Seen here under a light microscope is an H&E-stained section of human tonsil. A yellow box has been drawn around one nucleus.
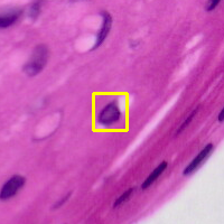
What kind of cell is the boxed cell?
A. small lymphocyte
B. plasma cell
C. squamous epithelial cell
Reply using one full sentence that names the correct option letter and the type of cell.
It is correct to say that the boxed cell is a squamous epithelial cell, as option C does.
